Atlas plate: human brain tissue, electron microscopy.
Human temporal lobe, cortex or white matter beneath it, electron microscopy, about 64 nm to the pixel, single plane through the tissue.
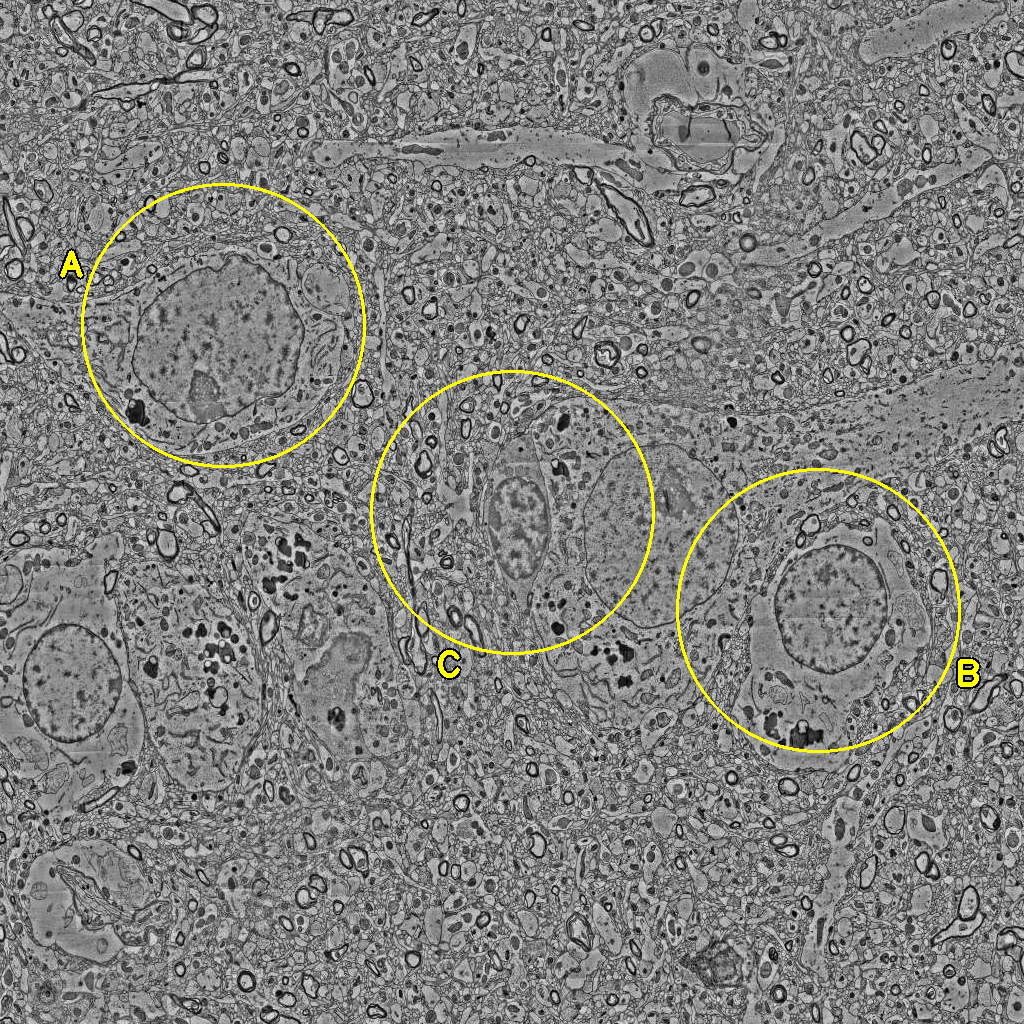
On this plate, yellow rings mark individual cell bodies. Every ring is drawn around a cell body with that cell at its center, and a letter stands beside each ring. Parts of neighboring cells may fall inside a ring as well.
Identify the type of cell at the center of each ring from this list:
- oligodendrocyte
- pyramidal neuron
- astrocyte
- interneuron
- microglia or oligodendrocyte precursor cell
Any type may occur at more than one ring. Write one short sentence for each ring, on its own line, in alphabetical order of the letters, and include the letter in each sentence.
At the center of ring A lies an interneuron.
At the center of ring B lies an astrocyte.
At the center of ring C lies an oligodendrocyte.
